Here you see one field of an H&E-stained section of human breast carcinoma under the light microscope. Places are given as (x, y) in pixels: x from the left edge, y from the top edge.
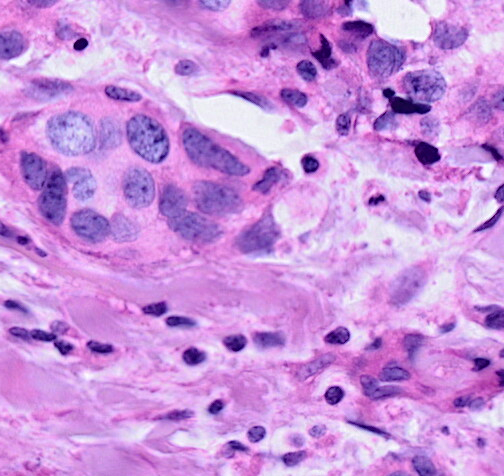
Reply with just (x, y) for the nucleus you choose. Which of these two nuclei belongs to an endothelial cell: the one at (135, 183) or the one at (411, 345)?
(411, 345)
